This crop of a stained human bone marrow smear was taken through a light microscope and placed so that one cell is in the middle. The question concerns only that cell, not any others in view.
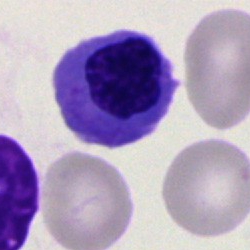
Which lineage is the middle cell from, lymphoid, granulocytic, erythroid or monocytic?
erythroid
